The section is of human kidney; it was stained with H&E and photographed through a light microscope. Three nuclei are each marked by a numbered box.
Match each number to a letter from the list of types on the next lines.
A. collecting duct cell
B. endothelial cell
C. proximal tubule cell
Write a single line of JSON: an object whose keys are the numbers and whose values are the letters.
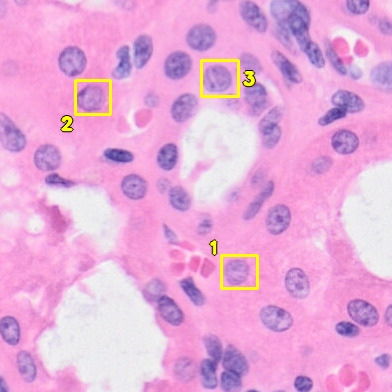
{"1": "C", "2": "C", "3": "A"}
